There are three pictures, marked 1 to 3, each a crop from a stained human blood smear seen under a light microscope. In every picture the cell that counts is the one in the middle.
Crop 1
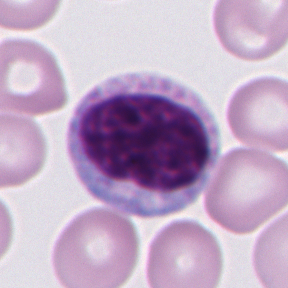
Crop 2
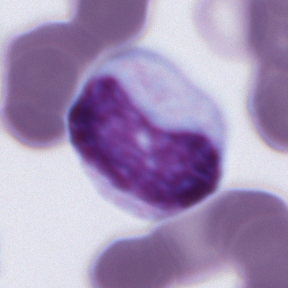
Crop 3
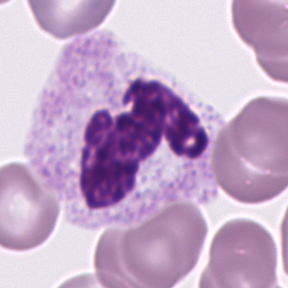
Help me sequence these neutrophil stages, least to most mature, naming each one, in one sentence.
From earliest stage to latest stage, the sequence is crop 1 (a metamyelocyte), crop 2 (a band neutrophil) and crop 3 (a segmented neutrophil).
